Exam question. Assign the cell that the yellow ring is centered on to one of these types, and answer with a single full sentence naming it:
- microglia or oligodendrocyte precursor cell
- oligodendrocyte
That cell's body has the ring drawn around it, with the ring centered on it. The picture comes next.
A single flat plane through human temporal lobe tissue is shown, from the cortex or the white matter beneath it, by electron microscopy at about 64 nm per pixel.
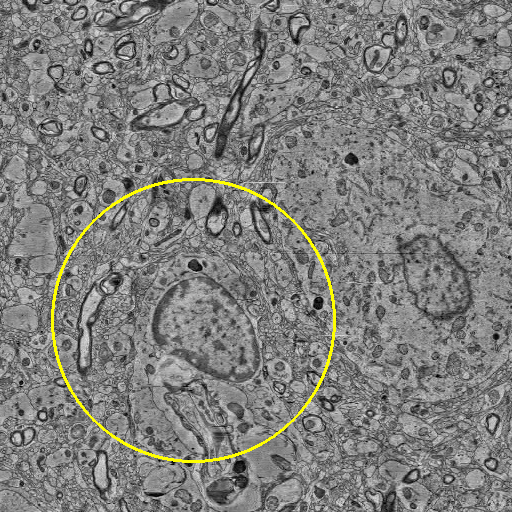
In the micrograph, the cell the yellow ring is centered on is a microglial cell or oligodendrocyte precursor cell.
